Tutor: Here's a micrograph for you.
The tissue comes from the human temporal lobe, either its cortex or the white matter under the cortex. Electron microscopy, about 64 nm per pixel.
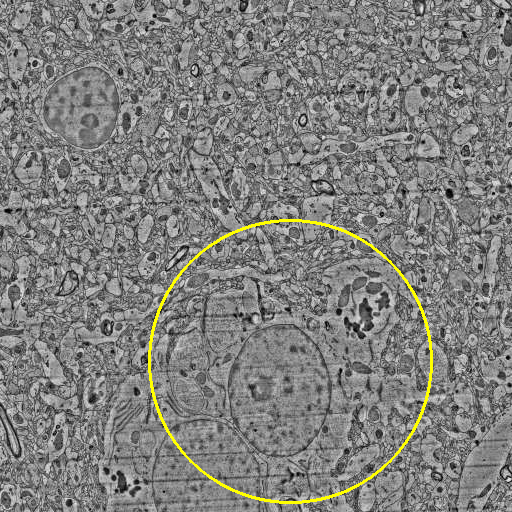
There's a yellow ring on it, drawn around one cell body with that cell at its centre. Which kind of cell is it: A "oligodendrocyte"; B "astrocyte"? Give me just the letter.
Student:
B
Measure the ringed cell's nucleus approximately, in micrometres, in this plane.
In this plane, the nucleus is roughly 8 by 7 micrometres.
